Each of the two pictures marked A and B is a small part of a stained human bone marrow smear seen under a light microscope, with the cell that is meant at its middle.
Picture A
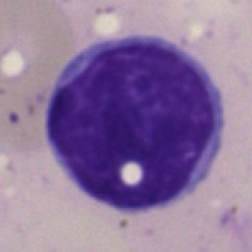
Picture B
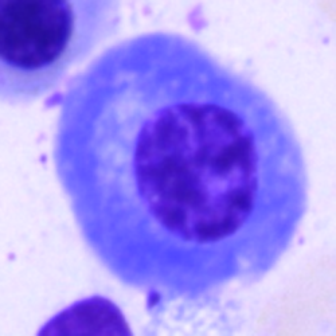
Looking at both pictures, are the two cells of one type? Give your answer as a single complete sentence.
No, they differ: the cell is a lymphocyte in picture A and a plasma cell in picture B.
